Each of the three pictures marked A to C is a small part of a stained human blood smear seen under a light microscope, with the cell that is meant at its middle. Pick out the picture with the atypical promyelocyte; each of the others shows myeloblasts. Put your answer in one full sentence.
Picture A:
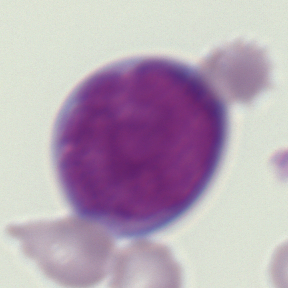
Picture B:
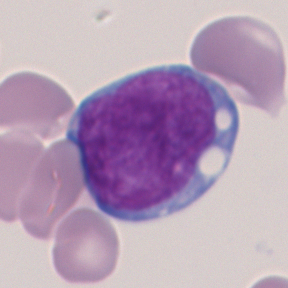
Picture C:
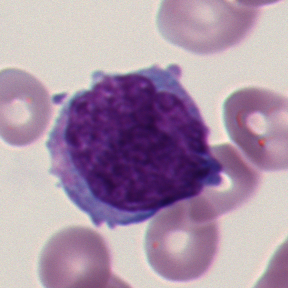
The cell in picture C is the atypical promyelocyte.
